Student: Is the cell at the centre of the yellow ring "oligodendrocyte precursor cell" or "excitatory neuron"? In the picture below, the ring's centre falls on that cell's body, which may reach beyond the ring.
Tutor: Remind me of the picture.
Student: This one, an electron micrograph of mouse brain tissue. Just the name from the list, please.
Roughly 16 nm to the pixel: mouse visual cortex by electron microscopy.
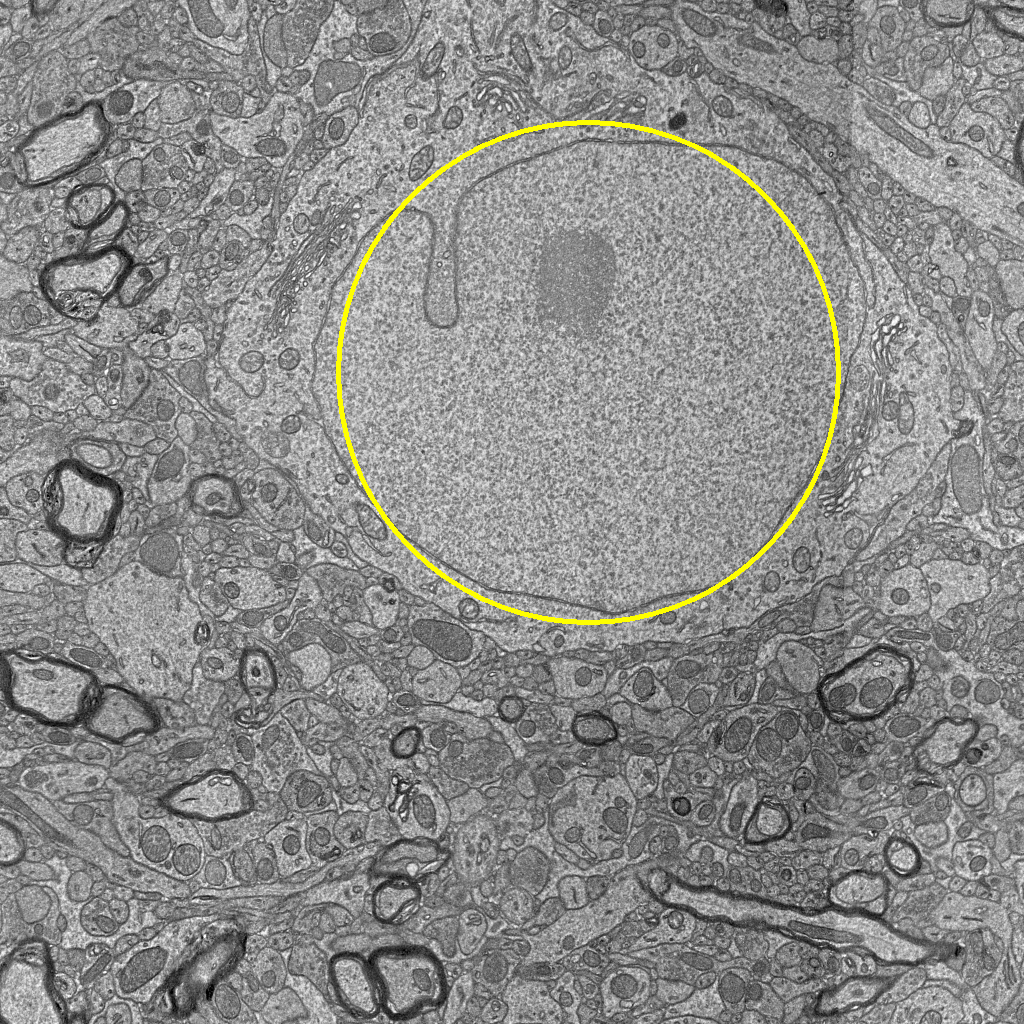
excitatory neuron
